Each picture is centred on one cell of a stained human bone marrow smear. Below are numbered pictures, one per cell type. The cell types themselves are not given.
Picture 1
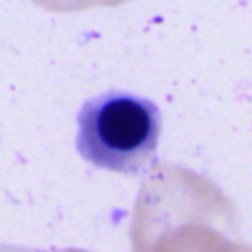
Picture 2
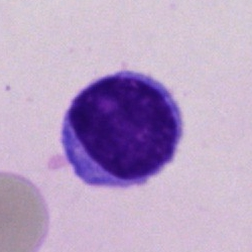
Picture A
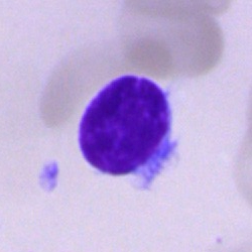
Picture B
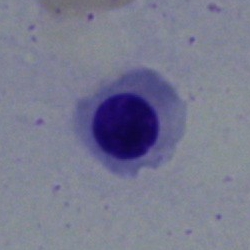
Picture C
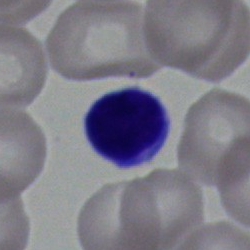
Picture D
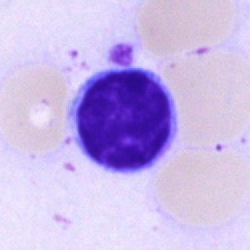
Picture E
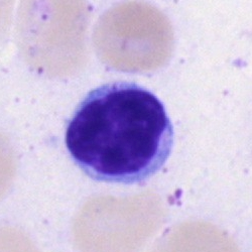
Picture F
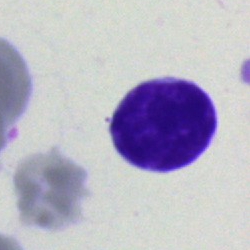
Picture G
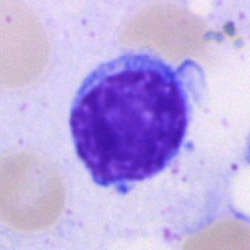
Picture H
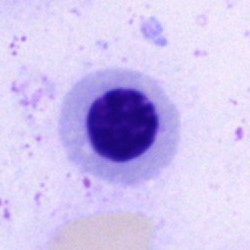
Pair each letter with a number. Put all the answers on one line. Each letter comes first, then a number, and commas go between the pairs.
A 2, B 1, C 2, D 2, E 2, F 2, G 2, H 1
